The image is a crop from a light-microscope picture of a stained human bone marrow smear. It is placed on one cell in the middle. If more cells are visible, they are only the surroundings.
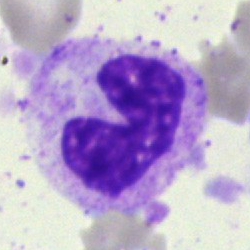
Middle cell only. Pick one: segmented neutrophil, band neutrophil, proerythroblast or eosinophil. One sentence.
The cell of interest, located centrally, is a band neutrophil.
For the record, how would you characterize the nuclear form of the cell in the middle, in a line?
The nucleus is one compact mass, round, oval or kidney-shaped in outline.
